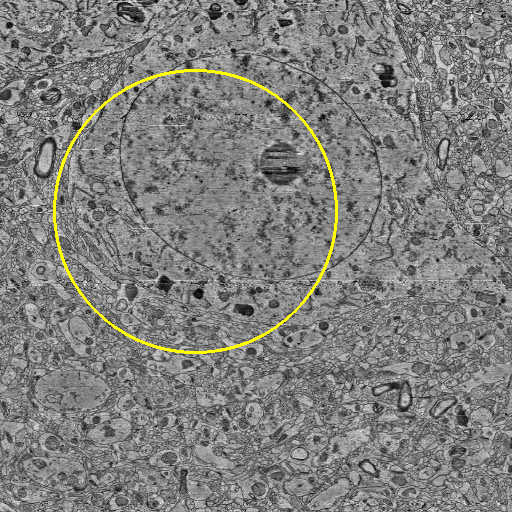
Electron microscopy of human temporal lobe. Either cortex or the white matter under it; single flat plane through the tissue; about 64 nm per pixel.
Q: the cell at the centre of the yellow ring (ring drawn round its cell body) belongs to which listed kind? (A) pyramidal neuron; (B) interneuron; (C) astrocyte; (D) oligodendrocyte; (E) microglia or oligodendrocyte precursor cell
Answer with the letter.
A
